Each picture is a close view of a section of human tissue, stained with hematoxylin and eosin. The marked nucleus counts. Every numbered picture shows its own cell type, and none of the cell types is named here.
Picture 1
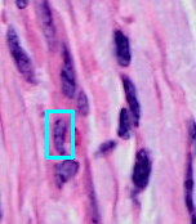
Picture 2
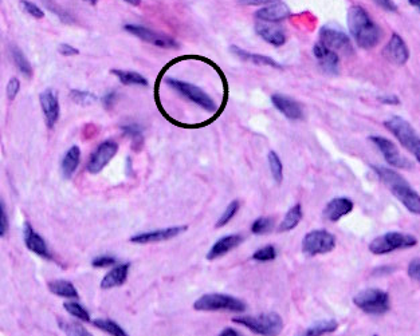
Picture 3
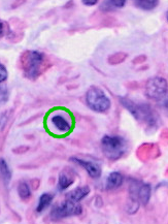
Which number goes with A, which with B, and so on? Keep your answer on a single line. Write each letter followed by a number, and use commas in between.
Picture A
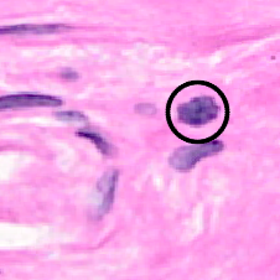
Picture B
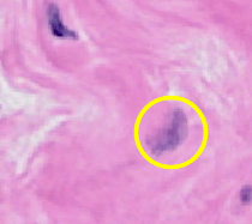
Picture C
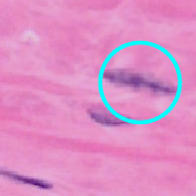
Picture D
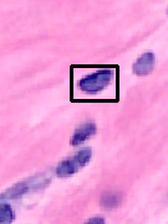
A 3, B 2, C 2, D 3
